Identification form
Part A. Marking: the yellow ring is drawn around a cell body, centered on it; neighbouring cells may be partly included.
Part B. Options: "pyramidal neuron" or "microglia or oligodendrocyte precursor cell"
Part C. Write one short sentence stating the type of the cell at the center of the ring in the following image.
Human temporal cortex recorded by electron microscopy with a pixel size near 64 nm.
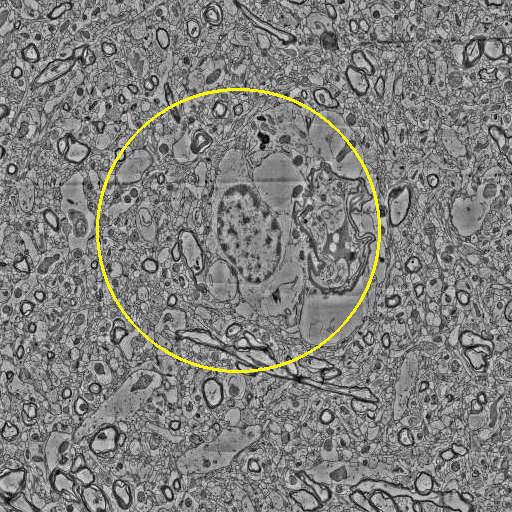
The center of the ring holds a microglial cell or oligodendrocyte precursor cell.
